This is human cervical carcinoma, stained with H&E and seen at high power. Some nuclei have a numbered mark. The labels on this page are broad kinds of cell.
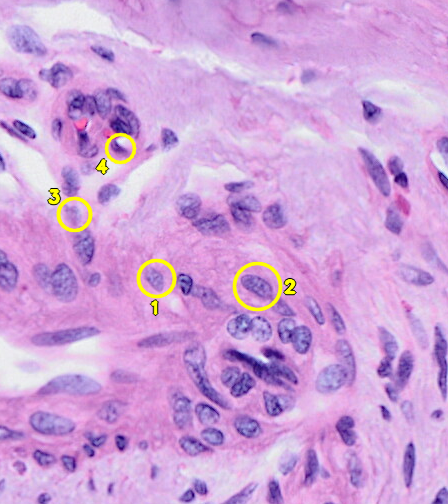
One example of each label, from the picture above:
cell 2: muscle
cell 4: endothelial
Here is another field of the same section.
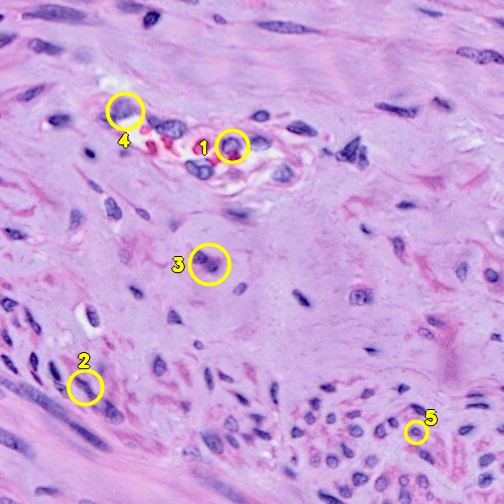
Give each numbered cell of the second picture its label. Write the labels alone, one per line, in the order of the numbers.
endothelial
muscle
muscle
endothelial
muscle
